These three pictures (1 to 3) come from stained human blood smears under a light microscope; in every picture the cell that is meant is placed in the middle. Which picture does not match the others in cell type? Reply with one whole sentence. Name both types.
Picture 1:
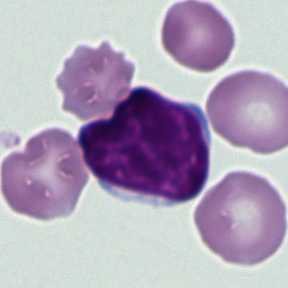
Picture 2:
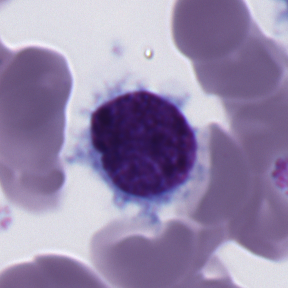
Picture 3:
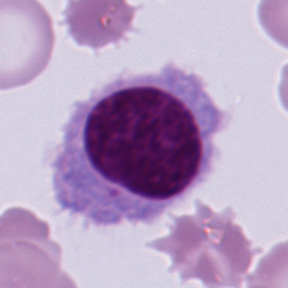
The others show hairy cells, but picture 1 shows a typical lymphocyte.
